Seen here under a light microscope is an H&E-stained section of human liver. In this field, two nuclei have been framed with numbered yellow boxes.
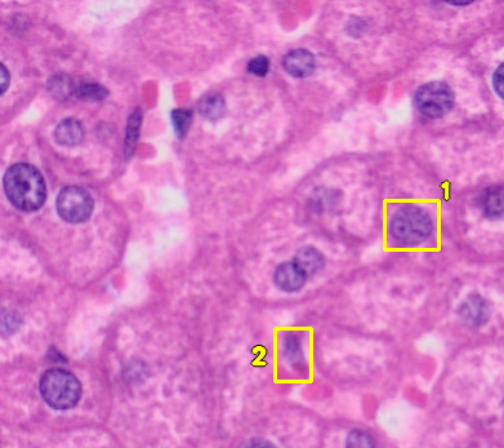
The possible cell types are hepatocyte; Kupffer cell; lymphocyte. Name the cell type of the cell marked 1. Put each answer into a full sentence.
The expected answer is that cell 1 is a hepatocyte.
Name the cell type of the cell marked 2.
In this section, the cell numbered 2 is a Kupffer cell.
